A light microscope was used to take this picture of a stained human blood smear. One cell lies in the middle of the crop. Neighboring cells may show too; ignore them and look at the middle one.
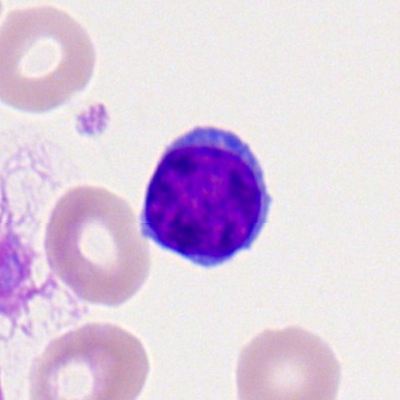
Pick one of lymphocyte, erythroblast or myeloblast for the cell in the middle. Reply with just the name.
lymphocyte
